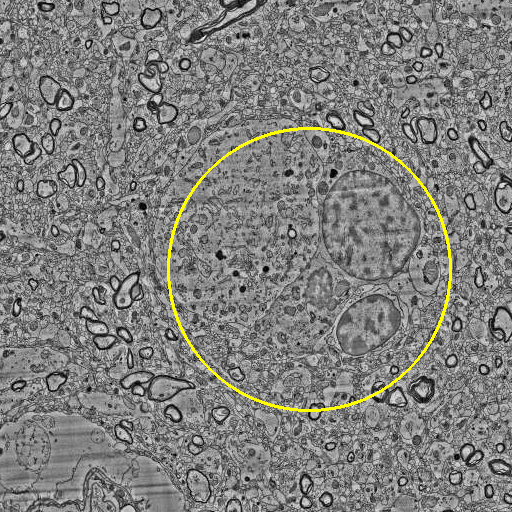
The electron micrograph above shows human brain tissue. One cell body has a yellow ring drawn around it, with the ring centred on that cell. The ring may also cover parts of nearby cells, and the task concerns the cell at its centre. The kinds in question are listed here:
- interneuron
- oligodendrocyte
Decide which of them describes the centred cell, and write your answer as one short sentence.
The centred cell is an oligodendrocyte.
